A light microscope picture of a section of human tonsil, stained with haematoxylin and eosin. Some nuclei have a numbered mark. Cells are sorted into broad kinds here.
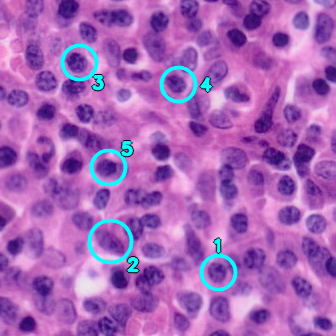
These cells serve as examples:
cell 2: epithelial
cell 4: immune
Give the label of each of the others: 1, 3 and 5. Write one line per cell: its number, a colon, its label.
1: immune
3: immune
5: epithelial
